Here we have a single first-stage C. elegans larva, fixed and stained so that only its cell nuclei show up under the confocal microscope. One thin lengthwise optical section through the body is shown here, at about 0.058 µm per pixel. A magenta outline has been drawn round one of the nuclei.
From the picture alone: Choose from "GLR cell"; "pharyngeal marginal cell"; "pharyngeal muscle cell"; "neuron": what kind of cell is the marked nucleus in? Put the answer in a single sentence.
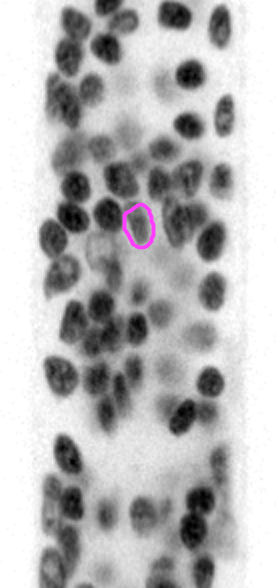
It belongs to a pharyngeal marginal cell.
